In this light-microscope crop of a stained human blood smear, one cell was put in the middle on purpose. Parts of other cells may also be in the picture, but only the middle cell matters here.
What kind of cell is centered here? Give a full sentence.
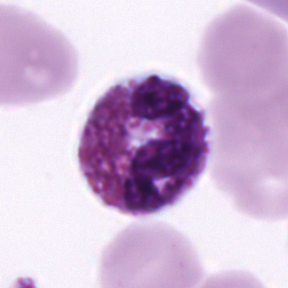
This crop has an eosinophil at its centre.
